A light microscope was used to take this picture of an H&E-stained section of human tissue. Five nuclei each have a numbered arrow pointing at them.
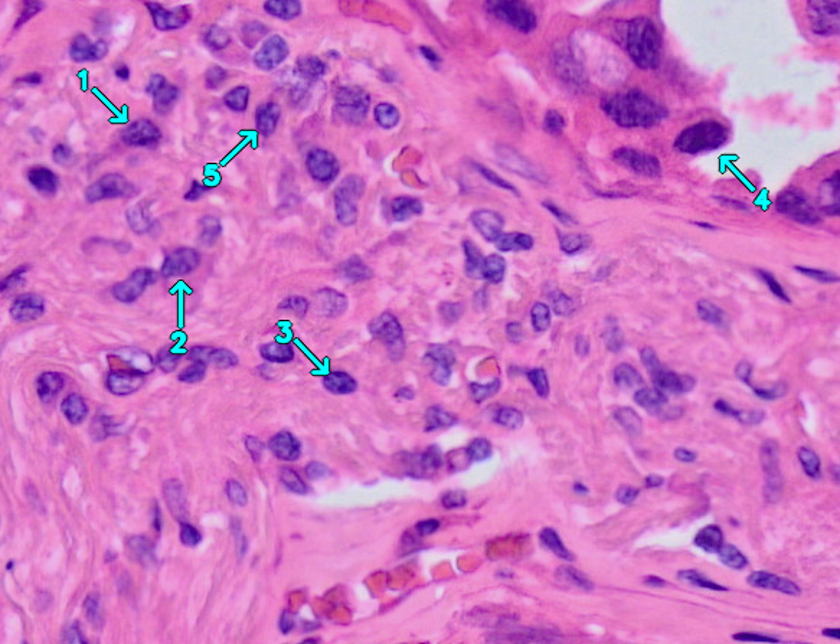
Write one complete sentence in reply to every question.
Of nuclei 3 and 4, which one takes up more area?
Of the two, number 4 is bigger and takes up about 2.5 times the area of number 3.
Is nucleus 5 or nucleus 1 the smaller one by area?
It is nucleus 5; nucleus 1 has about 1.5 times its area.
